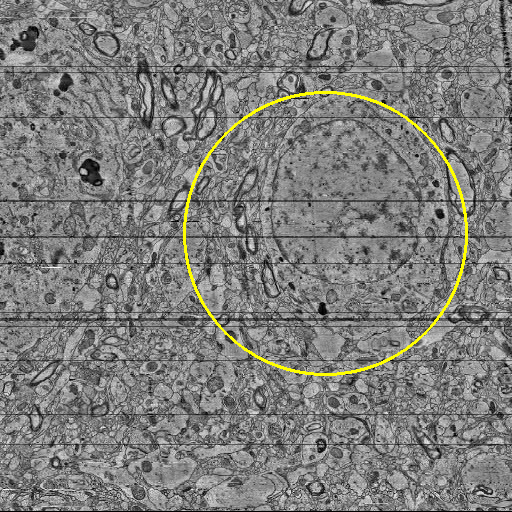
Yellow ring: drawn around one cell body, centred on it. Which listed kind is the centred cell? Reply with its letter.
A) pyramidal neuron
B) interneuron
A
